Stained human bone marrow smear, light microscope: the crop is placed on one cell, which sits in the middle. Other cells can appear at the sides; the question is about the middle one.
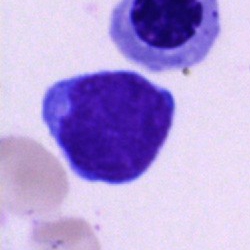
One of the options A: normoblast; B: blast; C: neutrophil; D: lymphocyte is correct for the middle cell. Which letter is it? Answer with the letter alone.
D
